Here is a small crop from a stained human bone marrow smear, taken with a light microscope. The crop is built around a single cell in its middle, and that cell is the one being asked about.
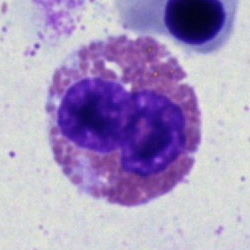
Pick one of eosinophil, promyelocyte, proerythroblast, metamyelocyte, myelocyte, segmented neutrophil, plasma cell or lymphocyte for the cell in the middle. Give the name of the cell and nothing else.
eosinophil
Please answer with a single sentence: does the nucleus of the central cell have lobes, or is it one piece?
Nuclear material here is separated into two or more segments.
